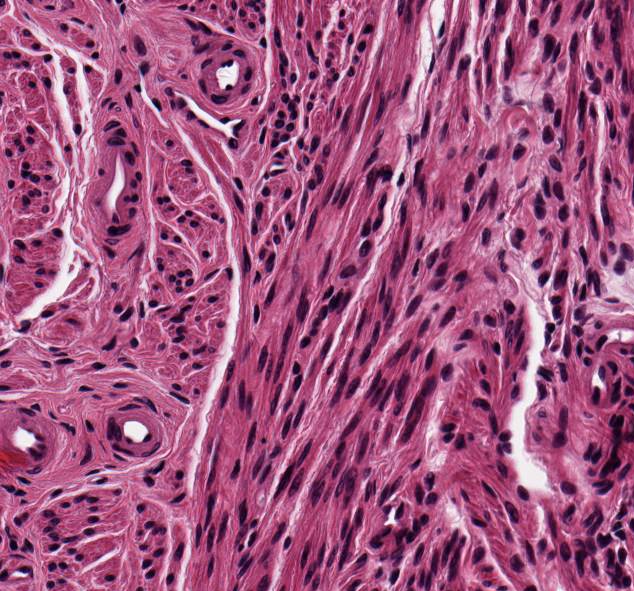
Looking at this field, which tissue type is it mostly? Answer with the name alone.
smooth muscle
